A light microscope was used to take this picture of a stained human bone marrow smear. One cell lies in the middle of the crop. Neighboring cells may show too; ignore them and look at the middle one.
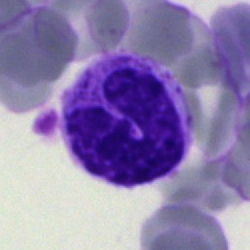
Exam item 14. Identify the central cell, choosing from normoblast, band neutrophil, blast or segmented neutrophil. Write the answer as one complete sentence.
Where the crop is centred, there is a band neutrophil.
